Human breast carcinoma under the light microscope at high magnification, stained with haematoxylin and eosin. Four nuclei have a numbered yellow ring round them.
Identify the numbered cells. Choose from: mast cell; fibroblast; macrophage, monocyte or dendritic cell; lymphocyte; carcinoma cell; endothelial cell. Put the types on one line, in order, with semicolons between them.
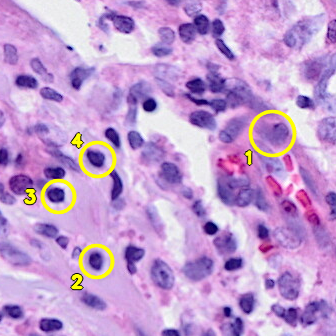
endothelial cell; lymphocyte; lymphocyte; lymphocyte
